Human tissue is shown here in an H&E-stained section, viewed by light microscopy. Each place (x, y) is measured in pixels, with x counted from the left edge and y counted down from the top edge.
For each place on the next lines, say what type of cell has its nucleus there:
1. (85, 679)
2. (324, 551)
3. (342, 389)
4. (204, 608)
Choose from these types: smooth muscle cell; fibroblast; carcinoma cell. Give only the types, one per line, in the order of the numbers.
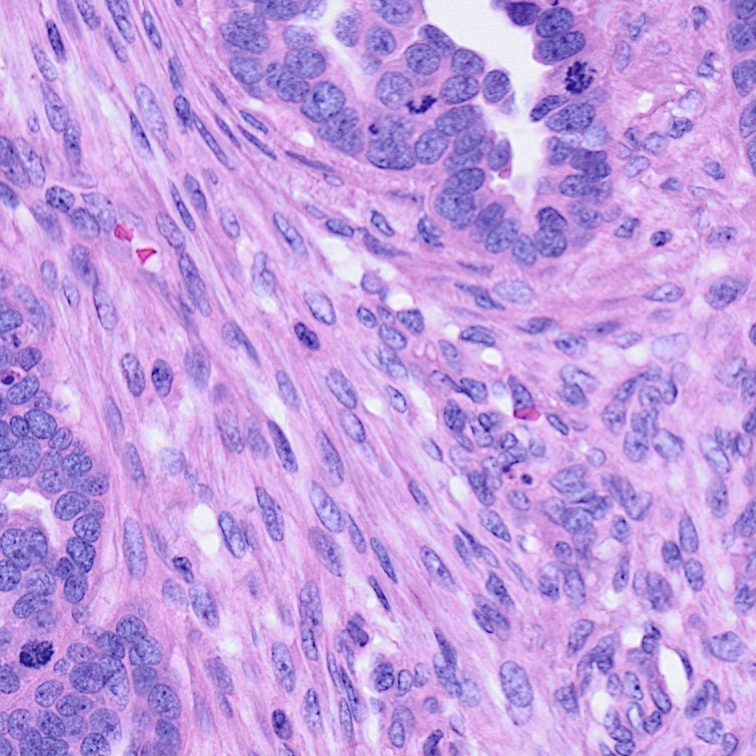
carcinoma cell
fibroblast
fibroblast
fibroblast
